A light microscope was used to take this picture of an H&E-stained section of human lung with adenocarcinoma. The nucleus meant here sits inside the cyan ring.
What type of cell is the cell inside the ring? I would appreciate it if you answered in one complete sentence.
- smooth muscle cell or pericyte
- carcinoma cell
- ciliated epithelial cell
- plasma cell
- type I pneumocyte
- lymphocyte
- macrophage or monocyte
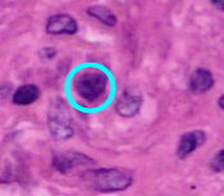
So far as cell type goes, the cell inside the ring is a plasma cell.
